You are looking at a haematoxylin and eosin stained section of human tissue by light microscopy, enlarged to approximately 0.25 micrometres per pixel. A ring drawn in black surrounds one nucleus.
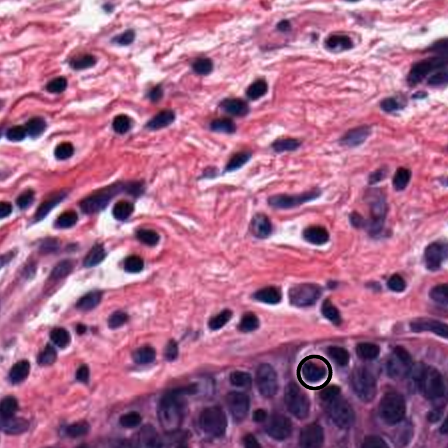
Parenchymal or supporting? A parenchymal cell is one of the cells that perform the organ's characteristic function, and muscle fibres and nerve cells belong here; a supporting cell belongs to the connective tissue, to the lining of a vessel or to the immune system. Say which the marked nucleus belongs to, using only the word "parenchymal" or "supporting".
supporting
